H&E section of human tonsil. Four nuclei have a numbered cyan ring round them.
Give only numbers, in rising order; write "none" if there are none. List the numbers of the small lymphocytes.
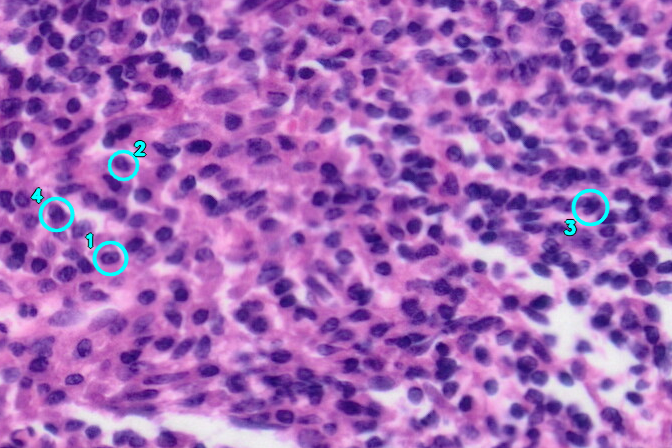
3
